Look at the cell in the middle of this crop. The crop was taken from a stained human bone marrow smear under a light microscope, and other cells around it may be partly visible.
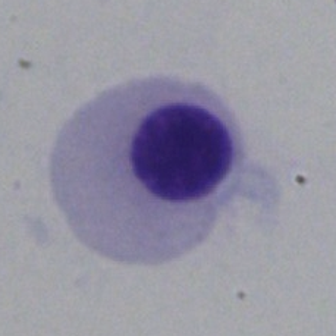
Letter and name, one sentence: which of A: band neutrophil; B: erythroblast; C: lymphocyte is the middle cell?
Here the central cell is an erythroblast, and option B is correct.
